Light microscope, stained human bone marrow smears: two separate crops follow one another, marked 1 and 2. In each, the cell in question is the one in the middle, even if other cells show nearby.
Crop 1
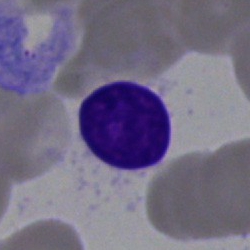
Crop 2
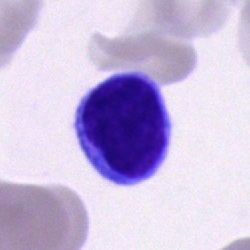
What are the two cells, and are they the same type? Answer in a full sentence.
Yes, both crops here show lymphocytes, the pair of them.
